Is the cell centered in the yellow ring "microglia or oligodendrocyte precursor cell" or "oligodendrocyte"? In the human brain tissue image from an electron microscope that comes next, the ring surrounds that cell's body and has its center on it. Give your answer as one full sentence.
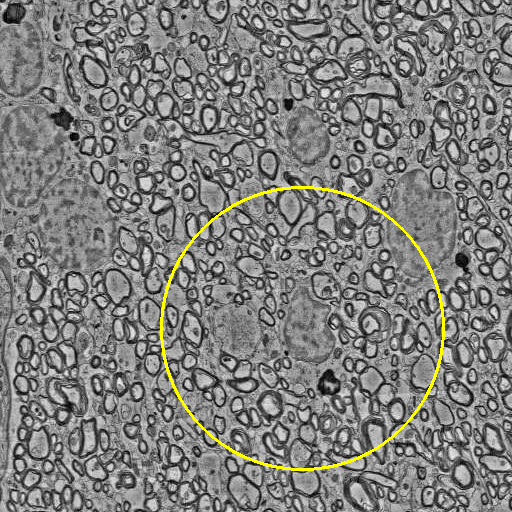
The cell at the center of the yellow ring is an oligodendrocyte in the micrograph.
